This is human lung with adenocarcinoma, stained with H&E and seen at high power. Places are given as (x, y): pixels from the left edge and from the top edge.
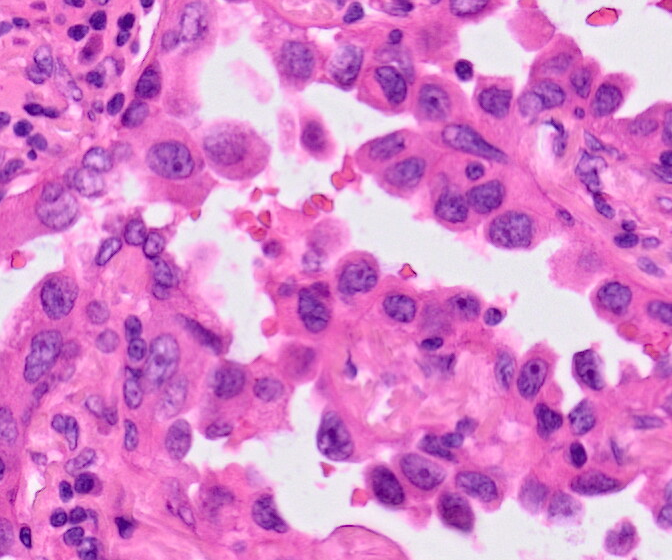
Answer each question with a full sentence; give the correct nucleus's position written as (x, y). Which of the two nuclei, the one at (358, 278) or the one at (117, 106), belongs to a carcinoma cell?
The nucleus whose cell is a carcinoma cell is the one at (358, 278).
